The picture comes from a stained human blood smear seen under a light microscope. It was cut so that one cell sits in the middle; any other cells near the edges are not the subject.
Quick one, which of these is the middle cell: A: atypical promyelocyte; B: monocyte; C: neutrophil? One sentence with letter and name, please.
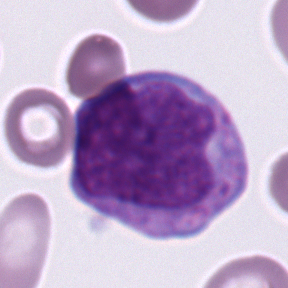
With the cell in the middle being an atypical promyelocyte, option A is the correct choice.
